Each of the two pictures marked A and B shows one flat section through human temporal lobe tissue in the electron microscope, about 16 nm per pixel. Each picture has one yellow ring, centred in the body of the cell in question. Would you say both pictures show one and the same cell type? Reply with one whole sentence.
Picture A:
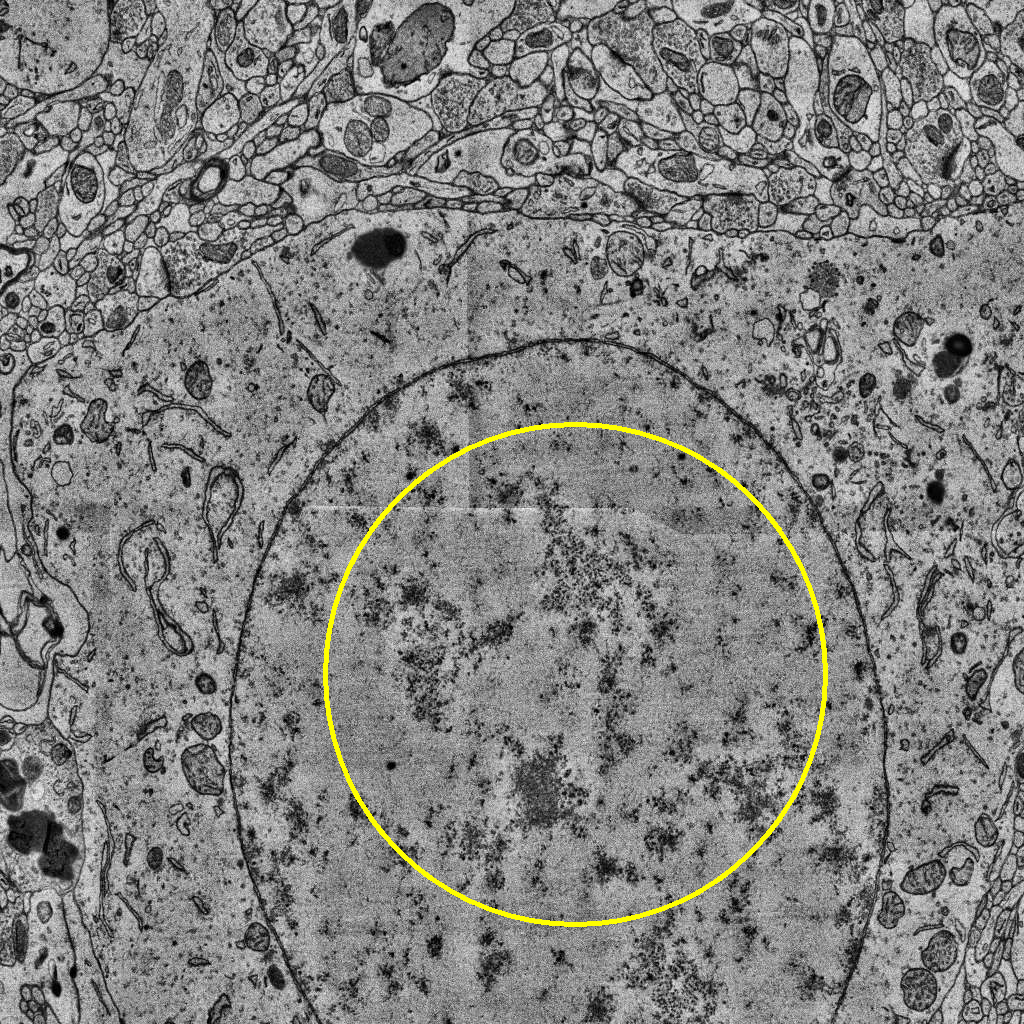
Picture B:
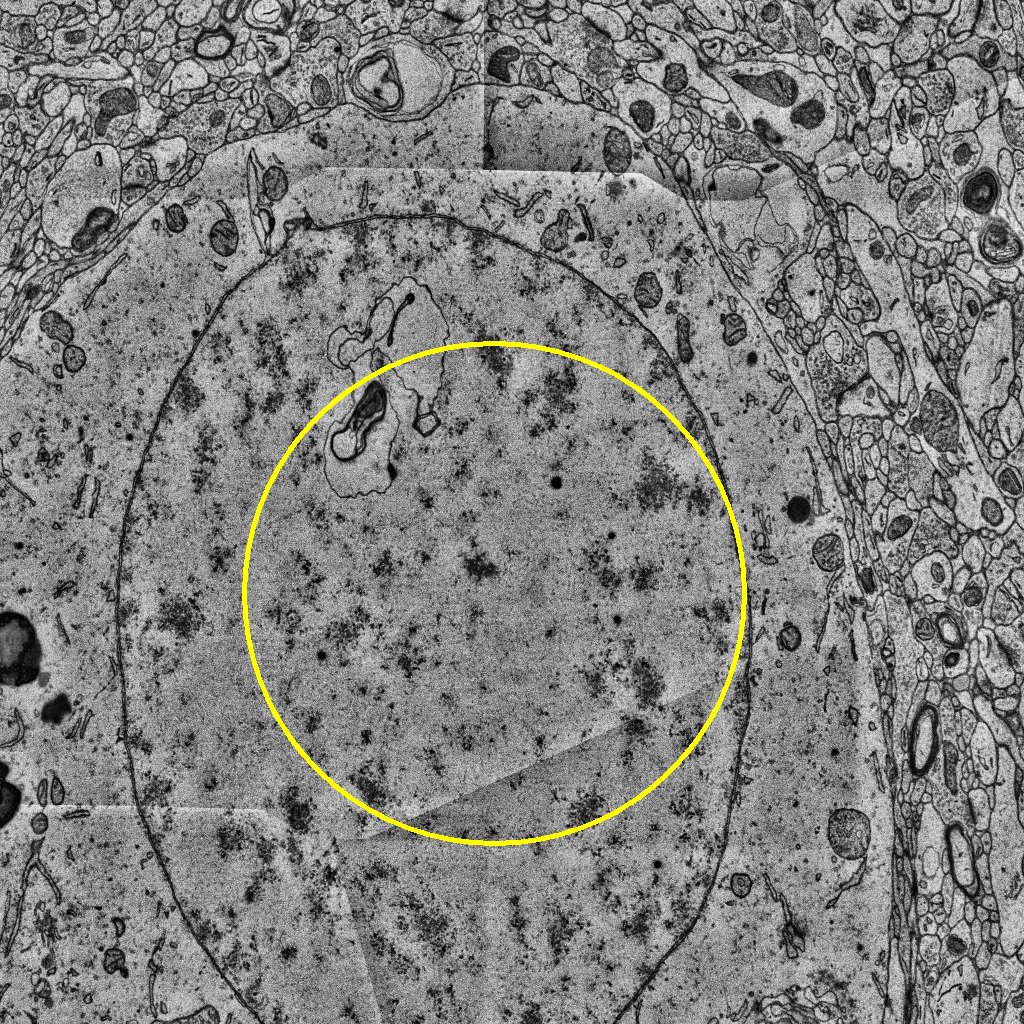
Yes, both are pyramidal neurons.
